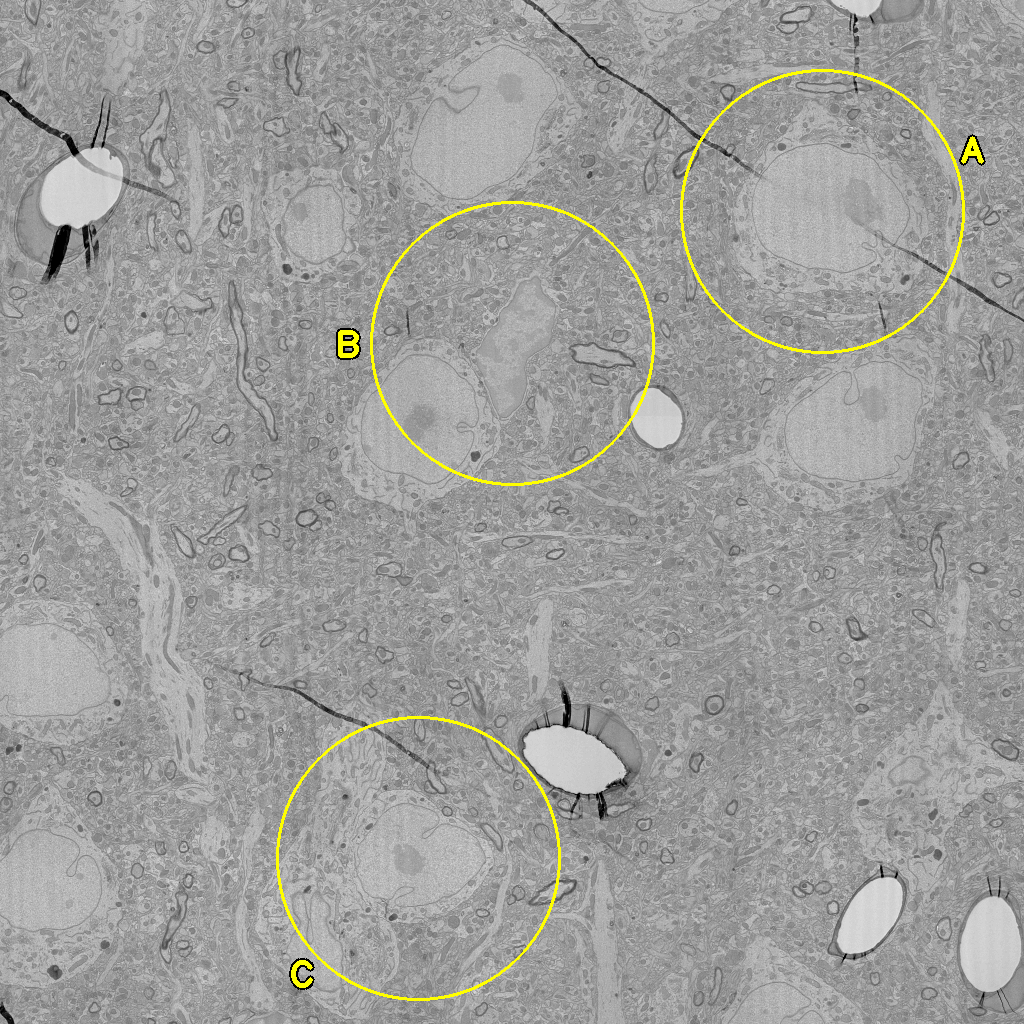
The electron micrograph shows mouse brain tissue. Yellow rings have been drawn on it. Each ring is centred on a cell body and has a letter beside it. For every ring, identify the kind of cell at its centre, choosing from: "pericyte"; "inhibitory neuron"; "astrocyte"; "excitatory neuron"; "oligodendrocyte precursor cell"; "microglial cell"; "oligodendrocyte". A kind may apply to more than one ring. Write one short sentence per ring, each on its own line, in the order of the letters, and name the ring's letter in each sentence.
Ring A is centred on an excitatory neuron.
Ring B is centred on a microglial cell.
Ring C is centred on an inhibitory neuron.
